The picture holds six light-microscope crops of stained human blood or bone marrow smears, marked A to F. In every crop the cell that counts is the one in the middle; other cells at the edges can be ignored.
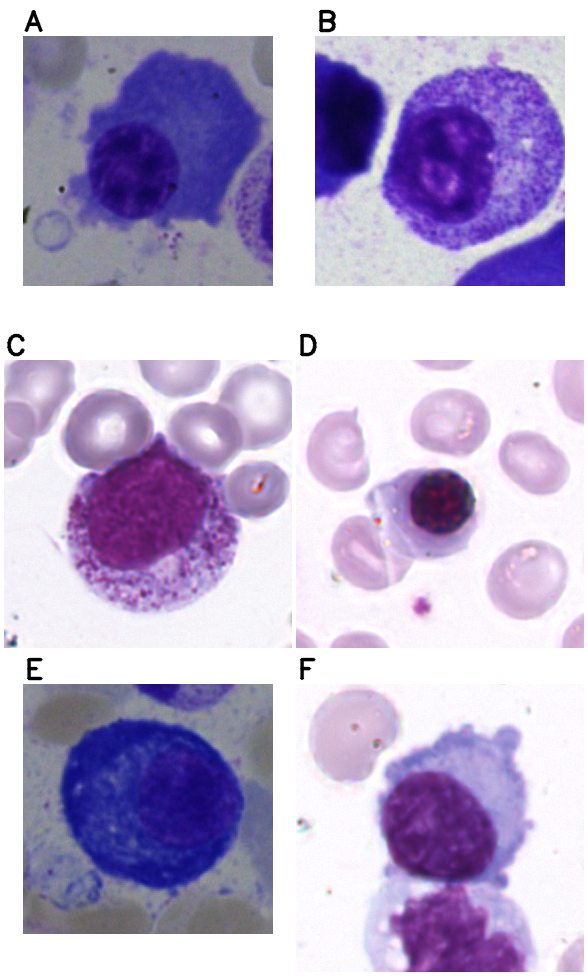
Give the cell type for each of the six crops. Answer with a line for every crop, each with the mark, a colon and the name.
A: plasma cell
B: myelocyte
C: myelocyte
D: erythroblast
E: plasma cell
F: plasma cell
